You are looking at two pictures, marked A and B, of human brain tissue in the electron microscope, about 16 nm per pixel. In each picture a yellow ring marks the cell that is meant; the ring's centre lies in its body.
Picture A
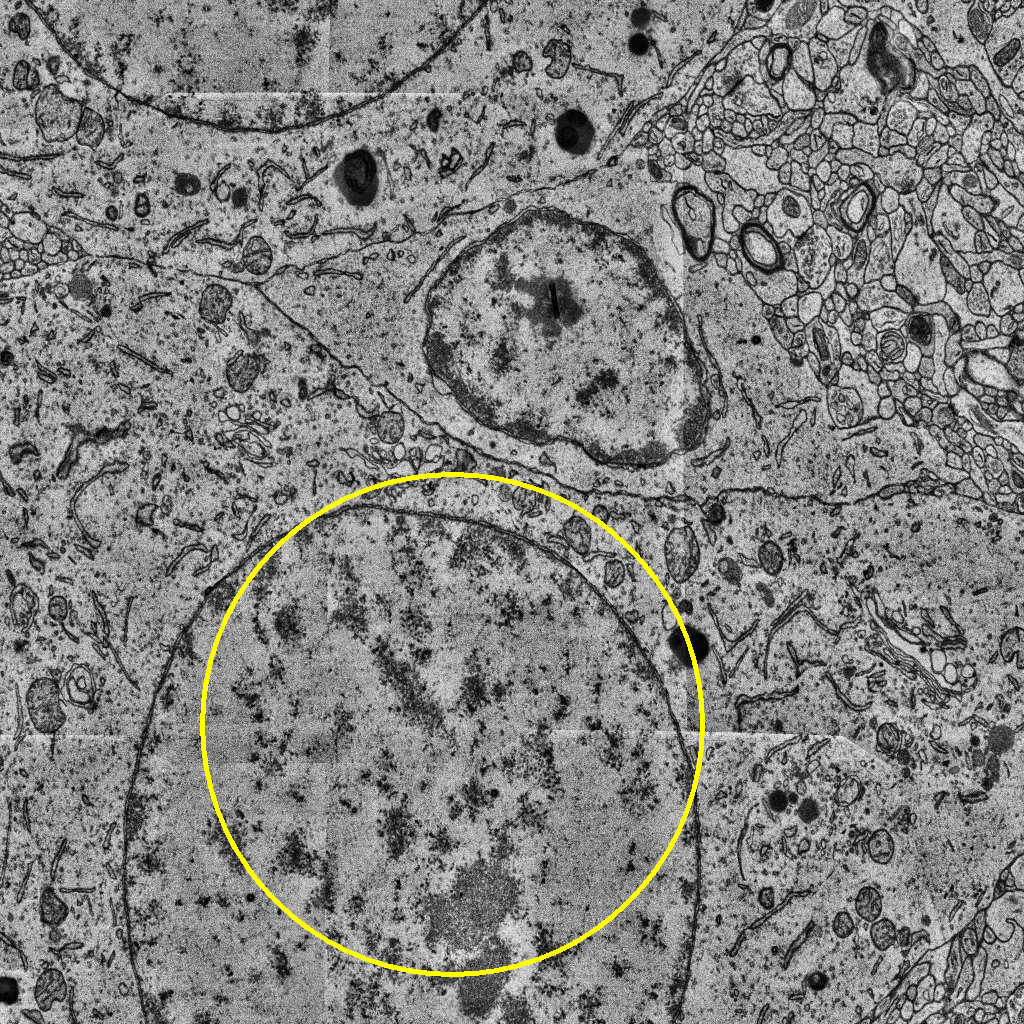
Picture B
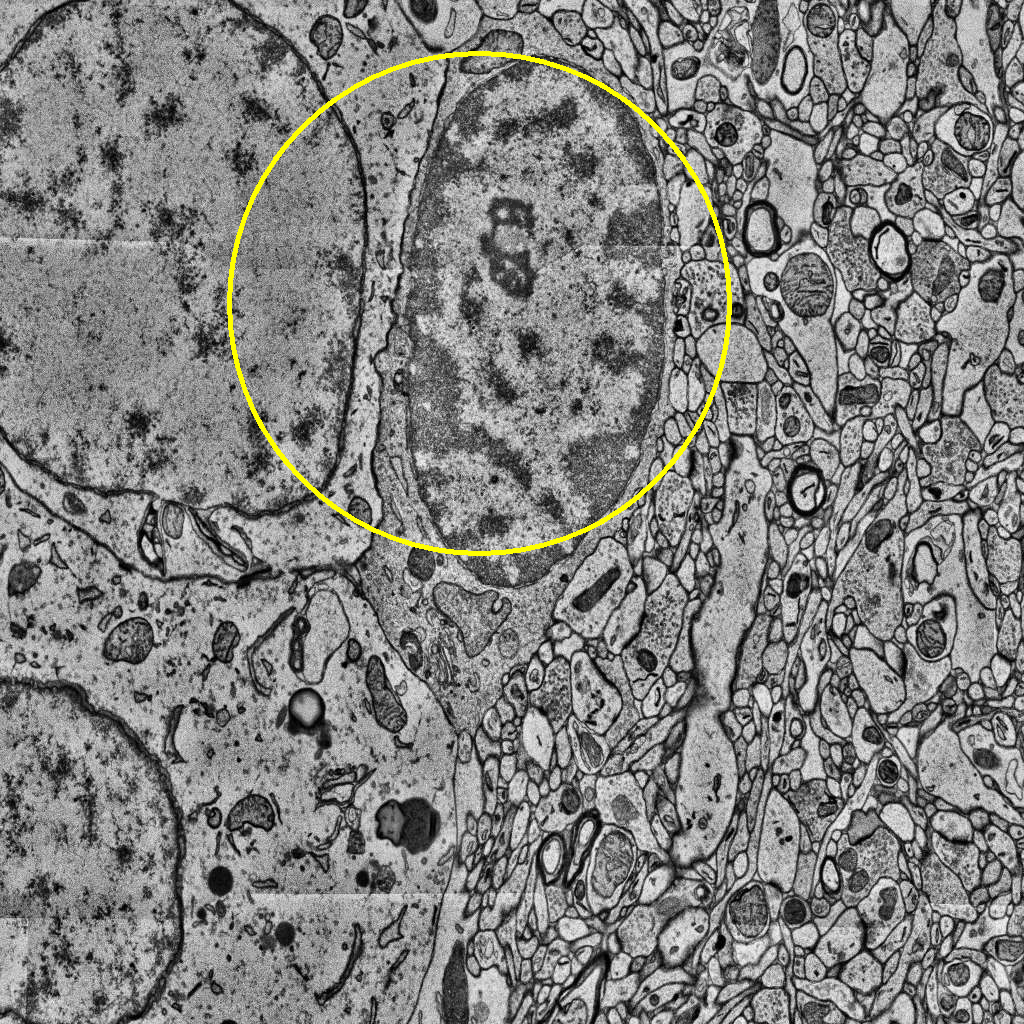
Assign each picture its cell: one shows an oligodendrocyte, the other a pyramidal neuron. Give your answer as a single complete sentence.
Picture B shows an oligodendrocyte, while picture A shows a pyramidal neuron.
